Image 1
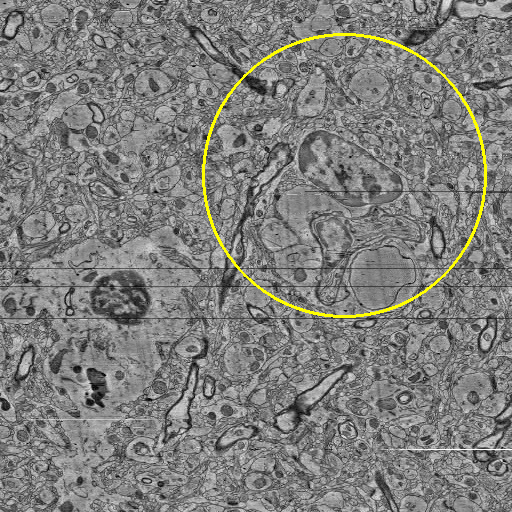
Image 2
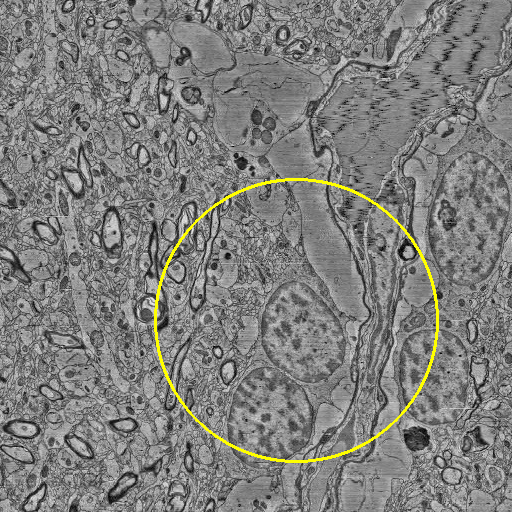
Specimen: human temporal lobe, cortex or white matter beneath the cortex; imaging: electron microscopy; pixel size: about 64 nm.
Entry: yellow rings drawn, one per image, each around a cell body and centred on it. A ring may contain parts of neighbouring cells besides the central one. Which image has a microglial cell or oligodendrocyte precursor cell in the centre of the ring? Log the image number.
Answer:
1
